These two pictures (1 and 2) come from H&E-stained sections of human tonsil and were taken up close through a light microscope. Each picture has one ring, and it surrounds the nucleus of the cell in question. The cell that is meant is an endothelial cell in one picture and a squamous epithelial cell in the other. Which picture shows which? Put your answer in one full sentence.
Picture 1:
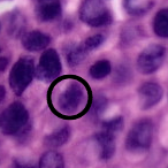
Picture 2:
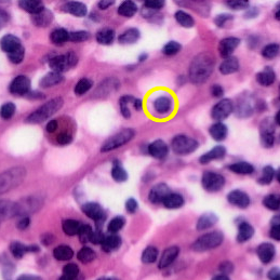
The cell in picture 1 is a squamous epithelial cell, and the one in picture 2 is an endothelial cell.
